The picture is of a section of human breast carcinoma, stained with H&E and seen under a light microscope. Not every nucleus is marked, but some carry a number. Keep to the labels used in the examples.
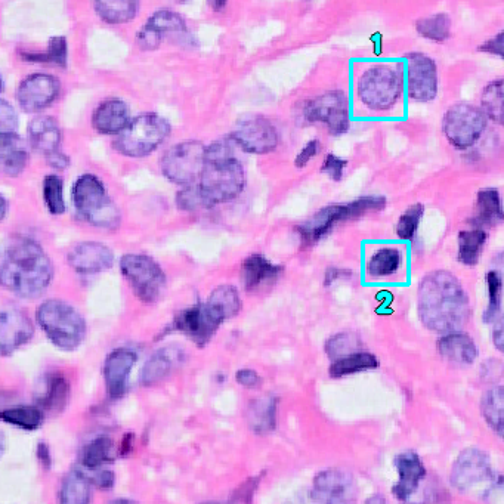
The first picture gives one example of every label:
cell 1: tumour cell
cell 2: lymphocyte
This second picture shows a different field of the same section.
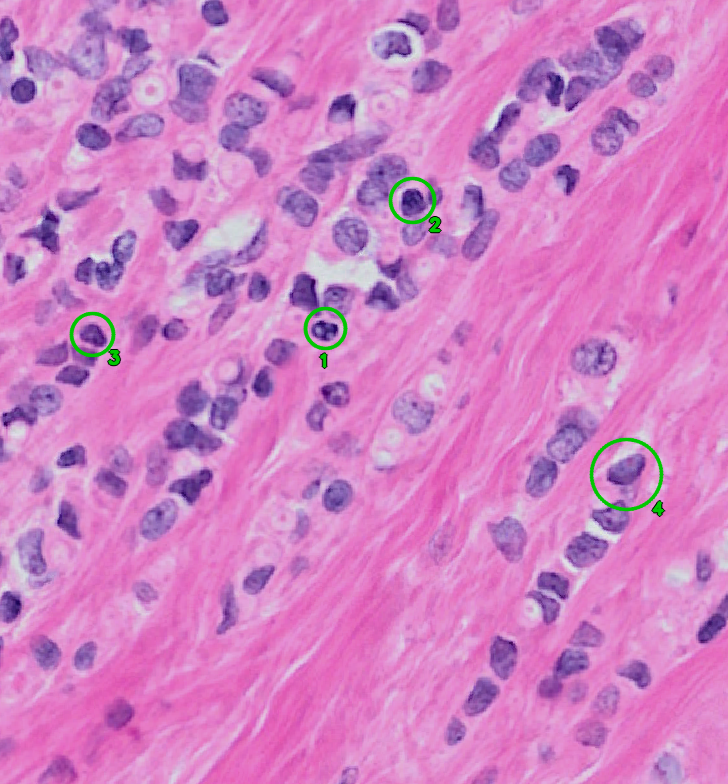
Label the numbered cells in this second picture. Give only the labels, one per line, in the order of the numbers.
lymphocyte
lymphocyte
lymphocyte
tumour cell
